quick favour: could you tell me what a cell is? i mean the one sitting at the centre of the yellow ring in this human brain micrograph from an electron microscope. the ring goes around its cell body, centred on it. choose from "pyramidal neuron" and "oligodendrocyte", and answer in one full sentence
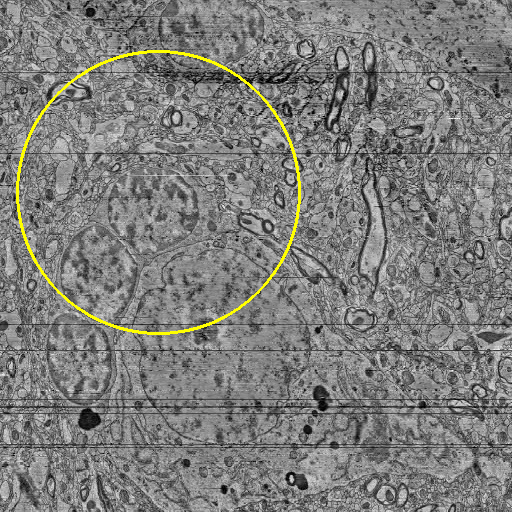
That's an oligodendrocyte, the cell sitting at the centre of the yellow ring.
